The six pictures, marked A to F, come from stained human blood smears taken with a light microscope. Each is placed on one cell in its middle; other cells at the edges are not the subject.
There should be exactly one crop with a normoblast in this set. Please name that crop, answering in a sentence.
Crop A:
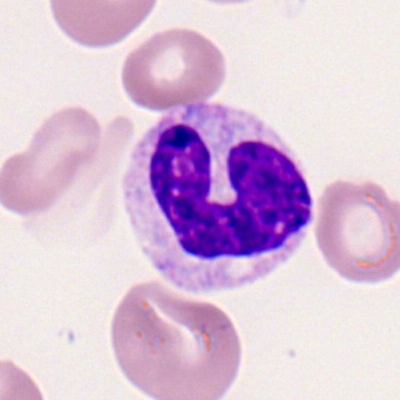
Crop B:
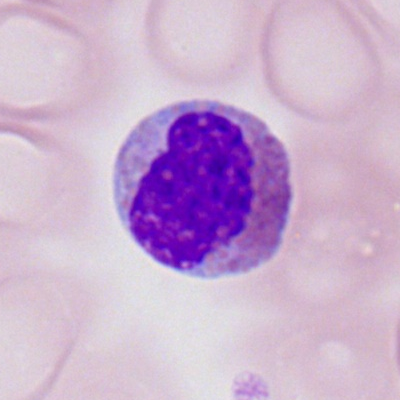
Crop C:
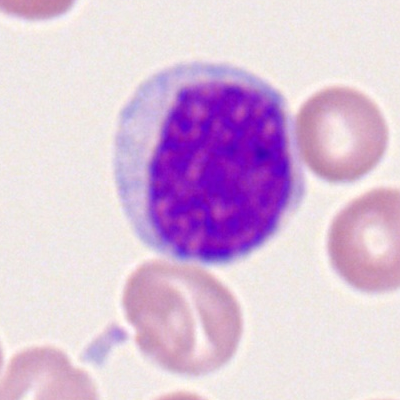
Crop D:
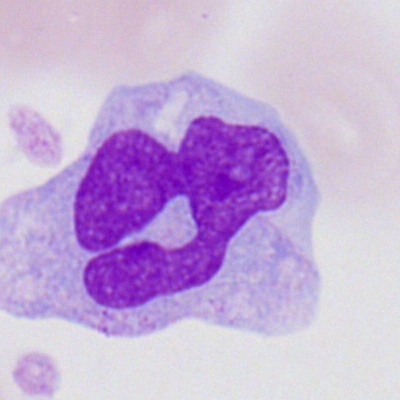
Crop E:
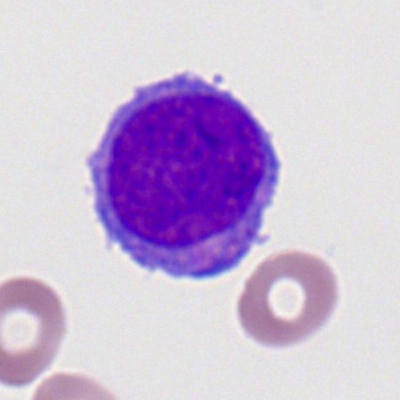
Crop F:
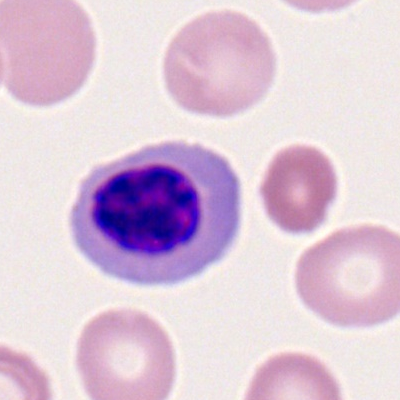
As for which crop shows a normoblast, it is crop F.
